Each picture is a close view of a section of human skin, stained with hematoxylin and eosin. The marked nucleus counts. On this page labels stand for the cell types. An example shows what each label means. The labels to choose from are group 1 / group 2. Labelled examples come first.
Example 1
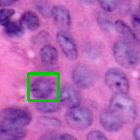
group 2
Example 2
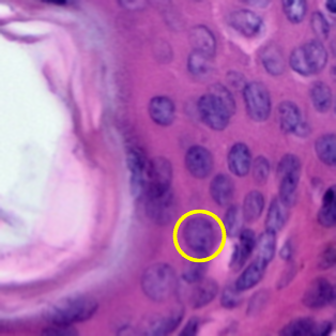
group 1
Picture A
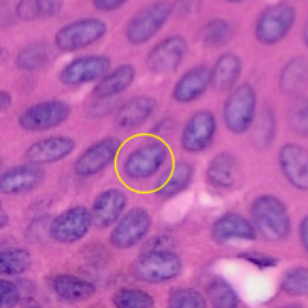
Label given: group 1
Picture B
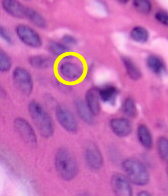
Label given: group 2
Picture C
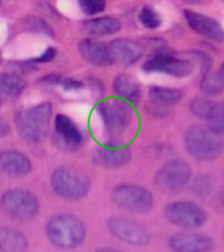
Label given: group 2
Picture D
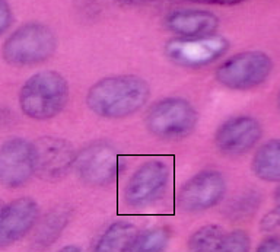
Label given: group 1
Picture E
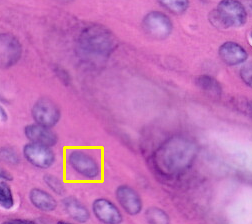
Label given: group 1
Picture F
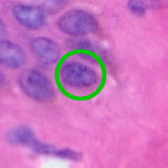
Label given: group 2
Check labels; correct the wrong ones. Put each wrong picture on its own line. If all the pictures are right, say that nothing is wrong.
None of the labels needs changing.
